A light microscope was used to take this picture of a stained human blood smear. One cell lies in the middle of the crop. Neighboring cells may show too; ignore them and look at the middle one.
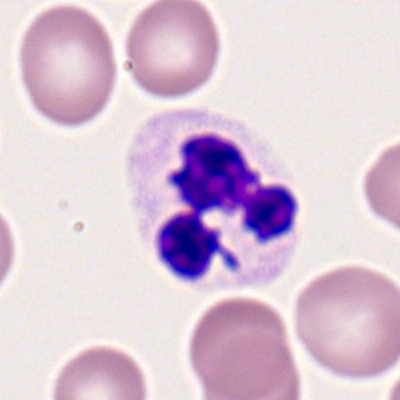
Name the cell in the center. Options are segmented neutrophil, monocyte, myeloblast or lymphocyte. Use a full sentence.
Standing at the centre of this crop is a segmented neutrophil.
